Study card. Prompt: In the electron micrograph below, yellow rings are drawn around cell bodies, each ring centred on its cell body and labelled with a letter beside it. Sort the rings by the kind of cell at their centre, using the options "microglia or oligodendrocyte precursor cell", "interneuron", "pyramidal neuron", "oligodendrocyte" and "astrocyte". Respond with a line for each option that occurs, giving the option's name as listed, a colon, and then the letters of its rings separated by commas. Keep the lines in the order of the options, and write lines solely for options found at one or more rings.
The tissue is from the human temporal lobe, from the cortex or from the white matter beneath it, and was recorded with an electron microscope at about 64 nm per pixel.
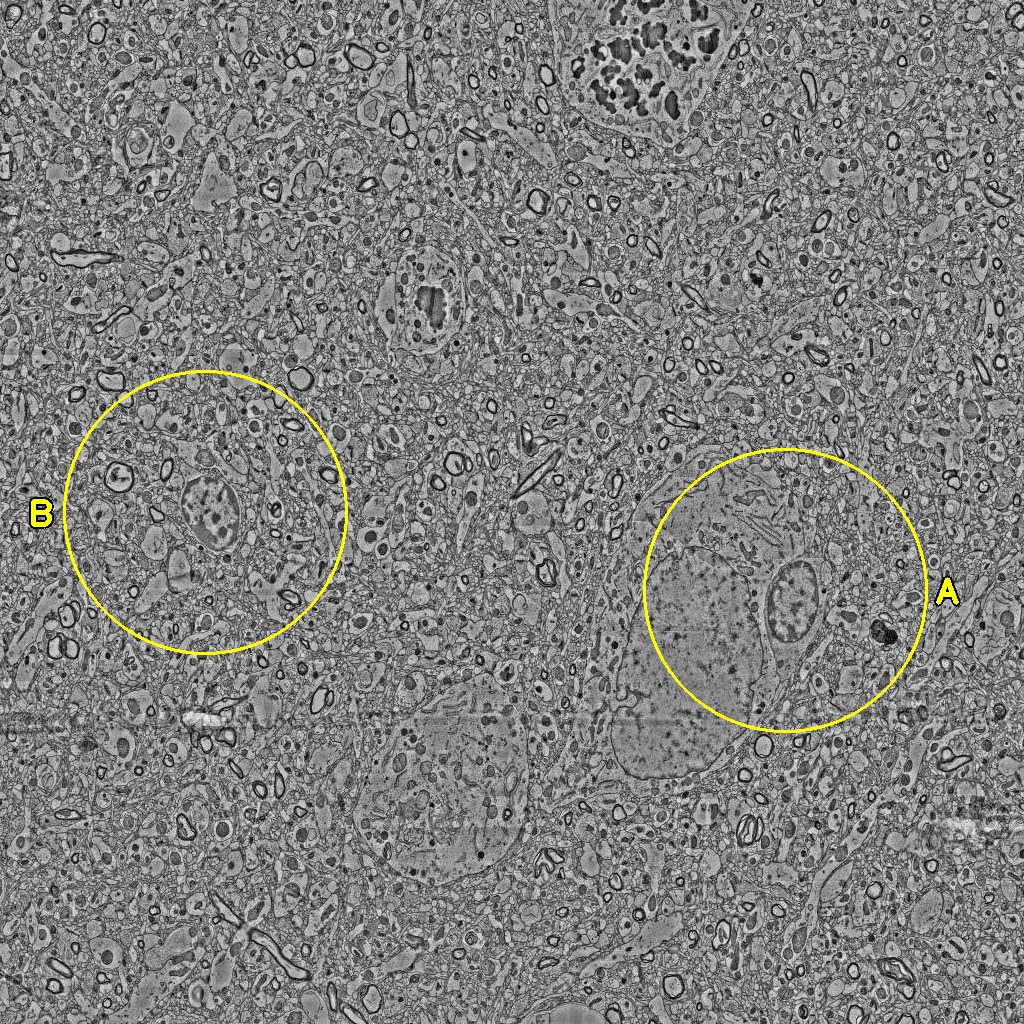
microglia or oligodendrocyte precursor cell: B
oligodendrocyte: A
